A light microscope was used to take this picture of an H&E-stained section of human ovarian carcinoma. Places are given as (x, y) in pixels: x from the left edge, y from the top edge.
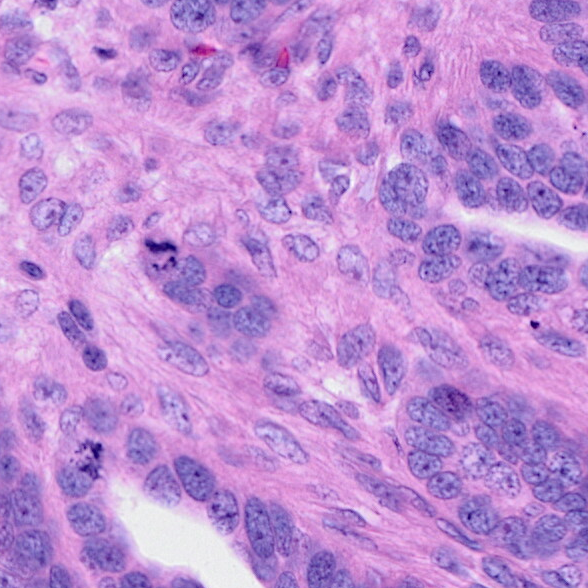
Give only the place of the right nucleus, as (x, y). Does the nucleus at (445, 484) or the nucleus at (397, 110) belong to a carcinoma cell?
(445, 484)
